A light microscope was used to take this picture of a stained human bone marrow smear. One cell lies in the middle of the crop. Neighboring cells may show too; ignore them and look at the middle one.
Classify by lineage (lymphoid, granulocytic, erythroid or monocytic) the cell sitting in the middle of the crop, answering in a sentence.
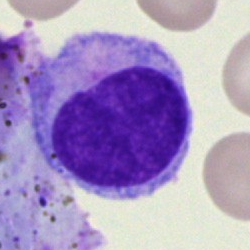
In the crop, the cell at the center is of lymphoid lineage.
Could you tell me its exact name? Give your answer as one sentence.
As for the cell in the middle, it is a hairy cell.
